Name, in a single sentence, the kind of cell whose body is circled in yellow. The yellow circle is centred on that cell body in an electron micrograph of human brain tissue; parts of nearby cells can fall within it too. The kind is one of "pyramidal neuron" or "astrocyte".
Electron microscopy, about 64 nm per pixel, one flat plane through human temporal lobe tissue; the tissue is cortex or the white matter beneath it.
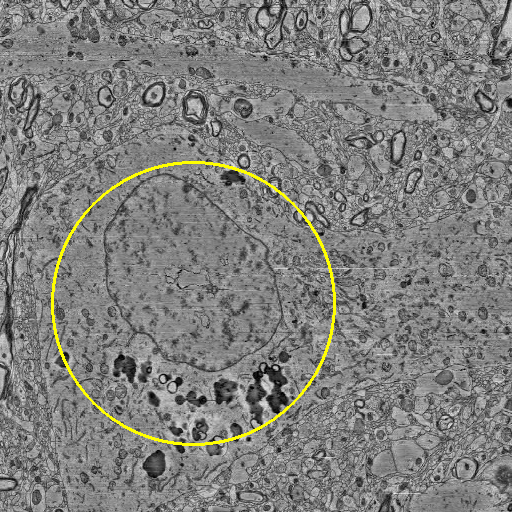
The circled cell body belongs to a pyramidal neuron.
